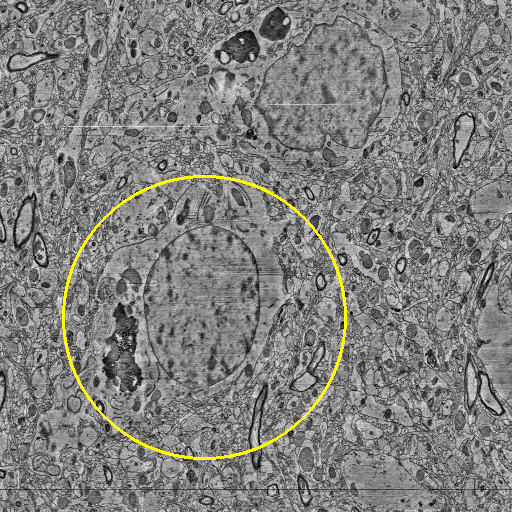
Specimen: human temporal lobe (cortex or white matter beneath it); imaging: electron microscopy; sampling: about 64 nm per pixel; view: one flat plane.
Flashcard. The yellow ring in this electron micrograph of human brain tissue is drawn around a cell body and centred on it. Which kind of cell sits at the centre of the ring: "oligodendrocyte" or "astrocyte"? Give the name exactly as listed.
astrocyte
